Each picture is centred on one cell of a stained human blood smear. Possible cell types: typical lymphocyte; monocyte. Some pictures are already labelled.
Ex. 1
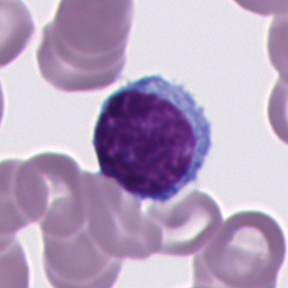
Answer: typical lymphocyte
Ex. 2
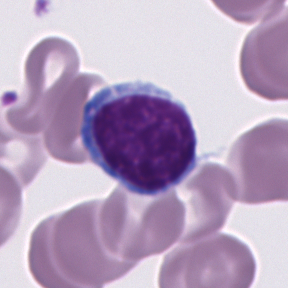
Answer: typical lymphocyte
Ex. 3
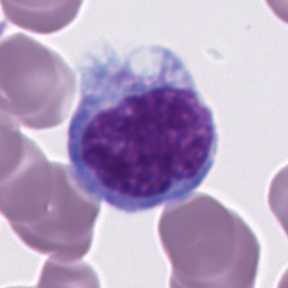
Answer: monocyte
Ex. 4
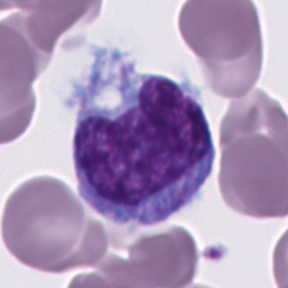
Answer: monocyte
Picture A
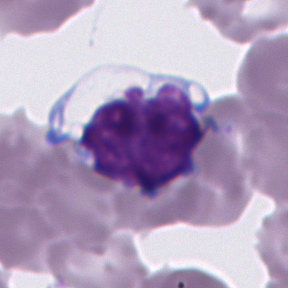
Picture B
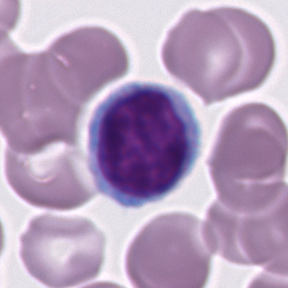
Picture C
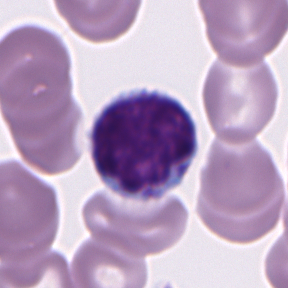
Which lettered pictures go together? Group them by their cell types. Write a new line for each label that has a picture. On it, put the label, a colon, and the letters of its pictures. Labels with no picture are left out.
typical lymphocyte: A, B, C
